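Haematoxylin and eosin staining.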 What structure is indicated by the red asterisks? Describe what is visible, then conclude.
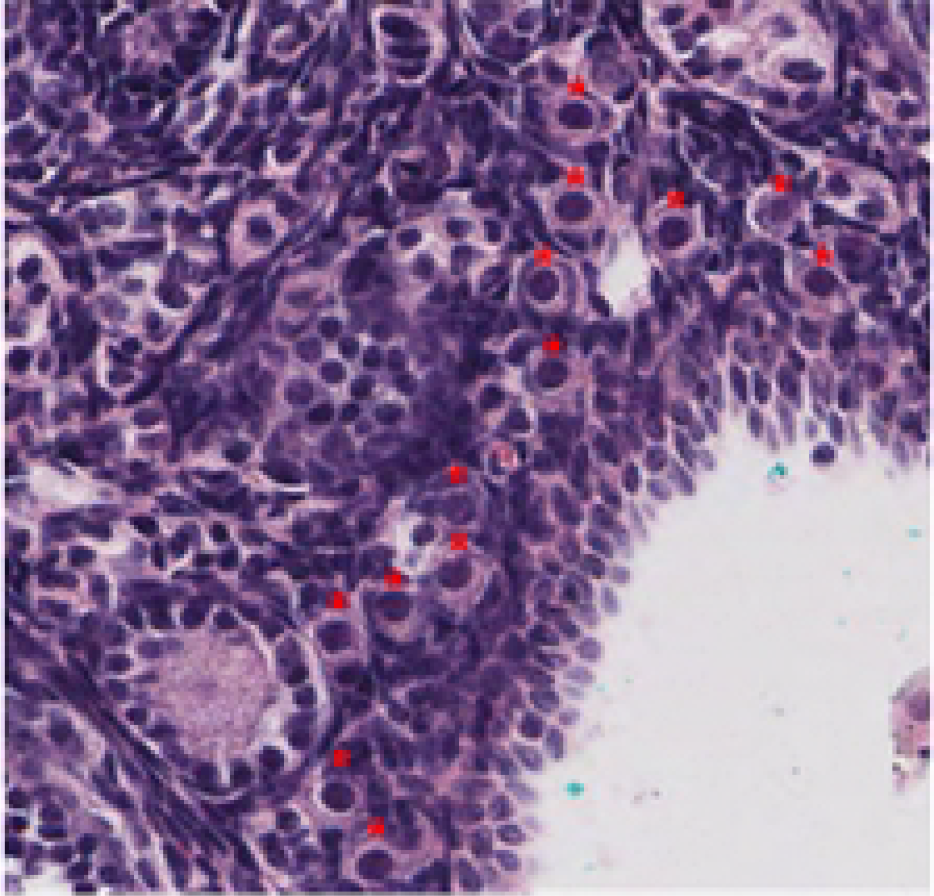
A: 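Each asterisk sits on a small round oocyte with pale cytoplasm and a round nucleus. The marked structures cluster together in the outer part of the ovary. On this evidence: primordial follicles.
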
